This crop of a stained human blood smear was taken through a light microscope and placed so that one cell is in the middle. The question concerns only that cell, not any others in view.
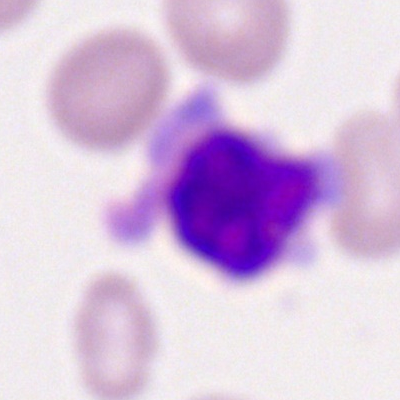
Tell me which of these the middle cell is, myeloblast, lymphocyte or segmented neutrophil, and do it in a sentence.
In the middle of this smear crop, the cell is a lymphocyte.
